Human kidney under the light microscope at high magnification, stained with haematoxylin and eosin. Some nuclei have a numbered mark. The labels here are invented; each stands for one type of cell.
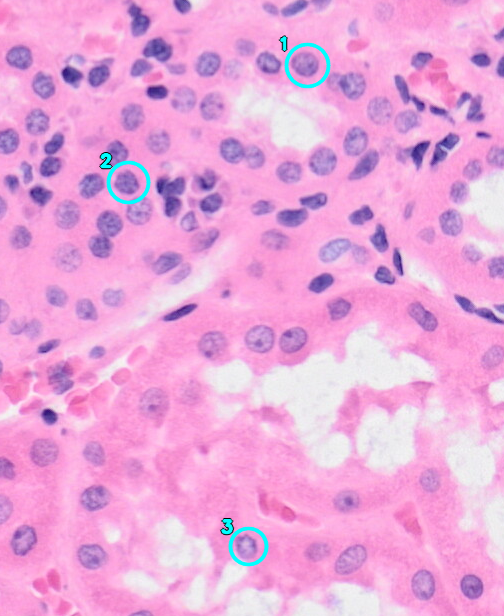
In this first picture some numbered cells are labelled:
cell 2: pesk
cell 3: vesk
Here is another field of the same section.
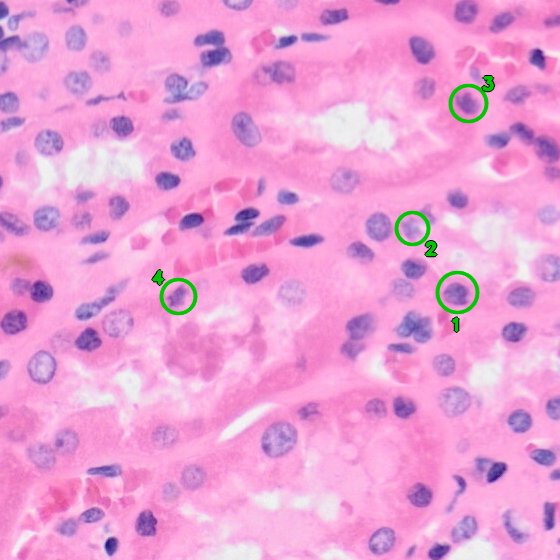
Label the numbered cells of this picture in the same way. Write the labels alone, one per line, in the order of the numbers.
pesk
pesk
vesk
vesk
